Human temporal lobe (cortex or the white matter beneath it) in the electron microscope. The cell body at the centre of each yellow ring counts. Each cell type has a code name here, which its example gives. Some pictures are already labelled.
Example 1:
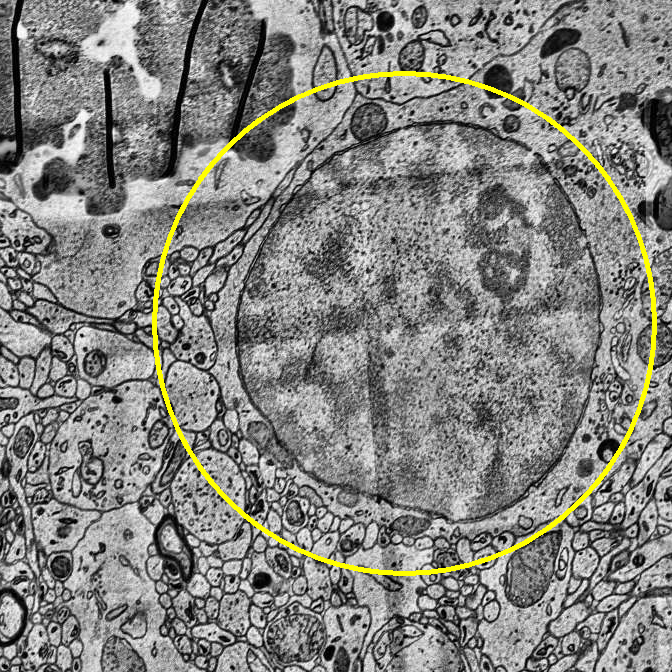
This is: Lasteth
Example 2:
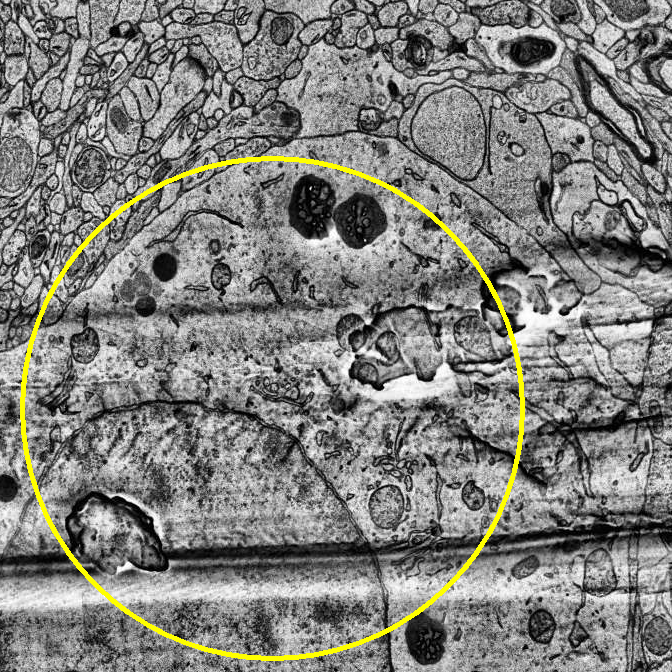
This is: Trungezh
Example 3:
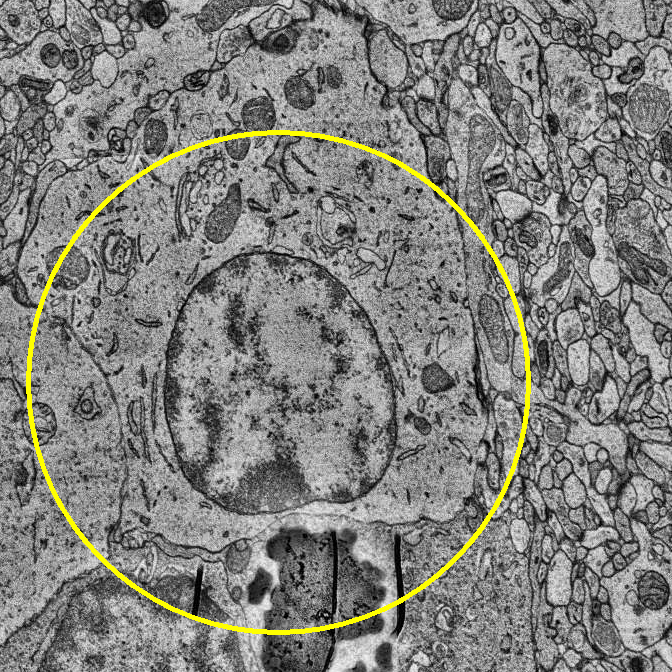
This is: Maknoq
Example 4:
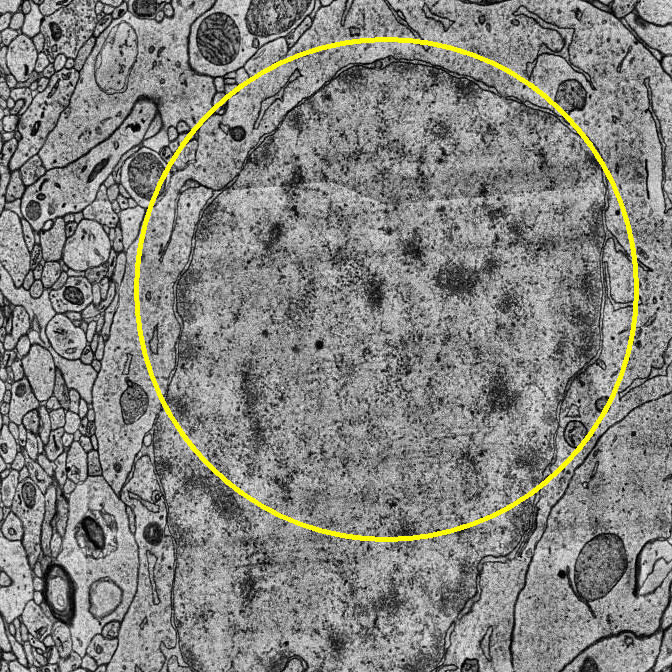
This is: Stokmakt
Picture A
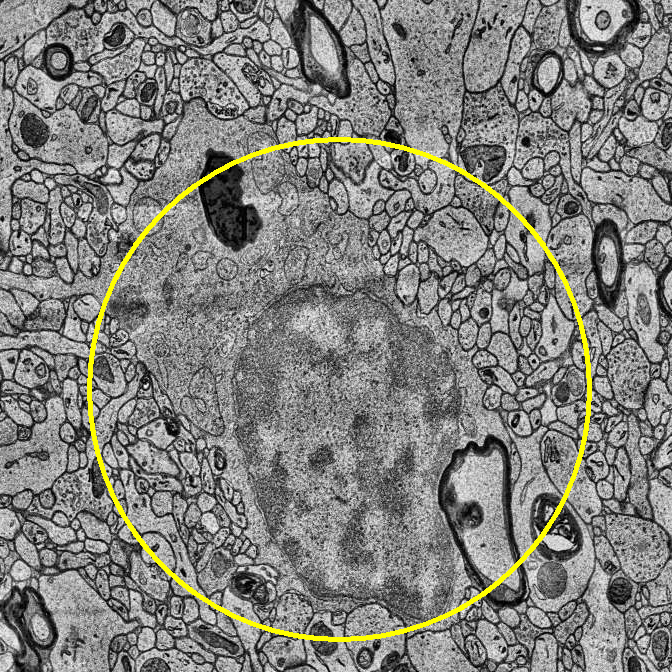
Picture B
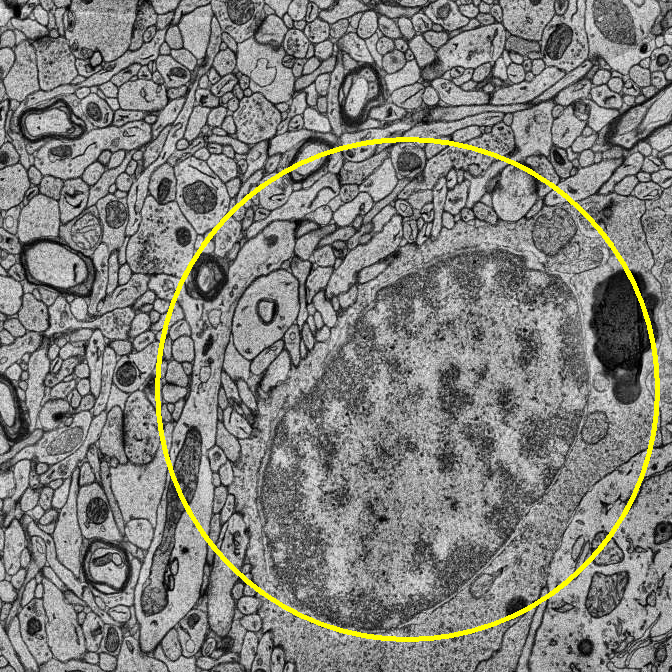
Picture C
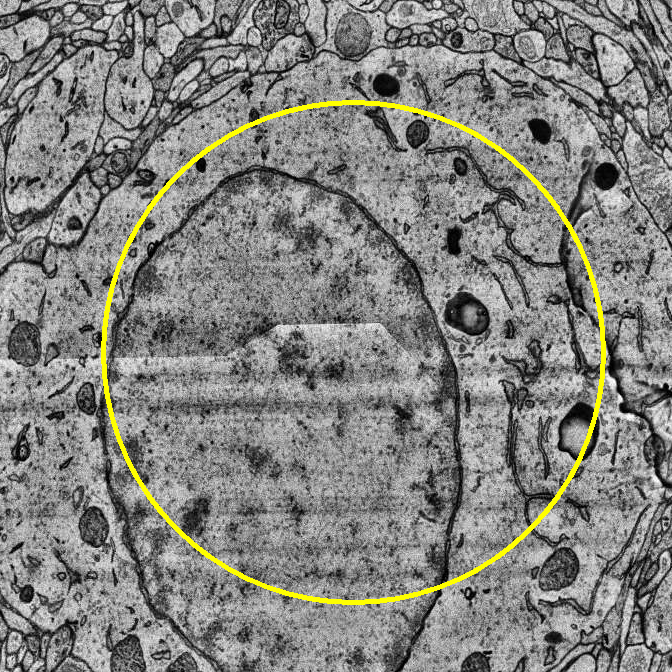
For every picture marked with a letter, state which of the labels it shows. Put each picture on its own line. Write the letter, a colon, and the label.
A: Lasteth
B: Lasteth
C: Trungezh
